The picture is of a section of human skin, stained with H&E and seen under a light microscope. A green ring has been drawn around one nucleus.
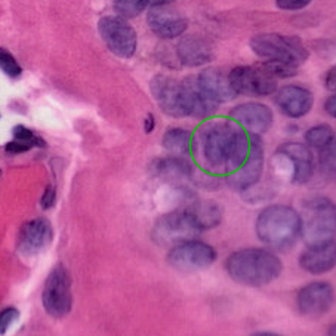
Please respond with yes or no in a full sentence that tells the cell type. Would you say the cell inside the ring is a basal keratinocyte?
Yes, that the cell inside the ring is a basal keratinocyte is correct.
